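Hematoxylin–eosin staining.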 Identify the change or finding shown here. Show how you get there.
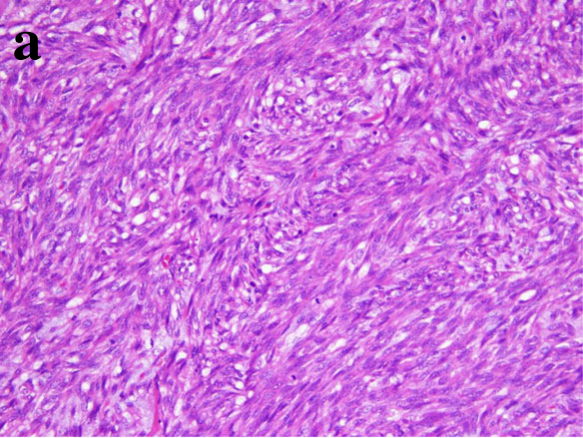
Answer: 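Densely packed elongated cells with tapered nuclei. Cells run in intersecting fascicles in different directions. The answer: bundle-like growth of spindle-shaped tumor cells.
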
